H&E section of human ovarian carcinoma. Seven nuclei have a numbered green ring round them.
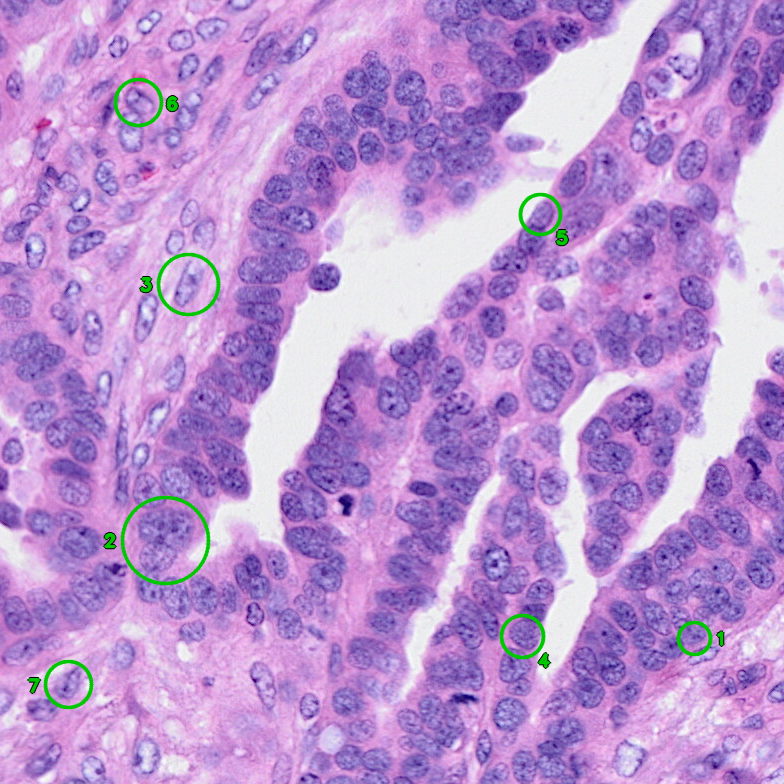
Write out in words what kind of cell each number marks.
Cells 1, 2, 4 and 5 are carcinoma cells. Cells 3 and 7 are fibroblasts. Cell 6 is an endothelial cell.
